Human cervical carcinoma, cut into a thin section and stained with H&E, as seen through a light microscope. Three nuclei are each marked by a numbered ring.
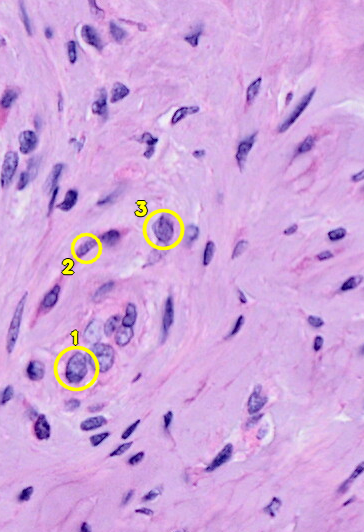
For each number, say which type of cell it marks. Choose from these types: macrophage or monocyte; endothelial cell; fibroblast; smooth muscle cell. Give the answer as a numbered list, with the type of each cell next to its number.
1. endothelial cell
2. smooth muscle cell
3. fibroblast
